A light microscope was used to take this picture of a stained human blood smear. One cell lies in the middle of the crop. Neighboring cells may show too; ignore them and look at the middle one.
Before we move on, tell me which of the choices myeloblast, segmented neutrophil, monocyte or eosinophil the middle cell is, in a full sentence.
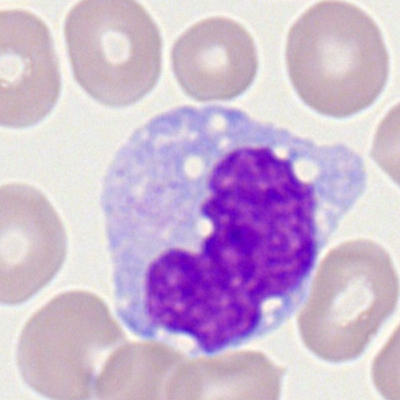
Here the centrally located cell is a monocyte.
